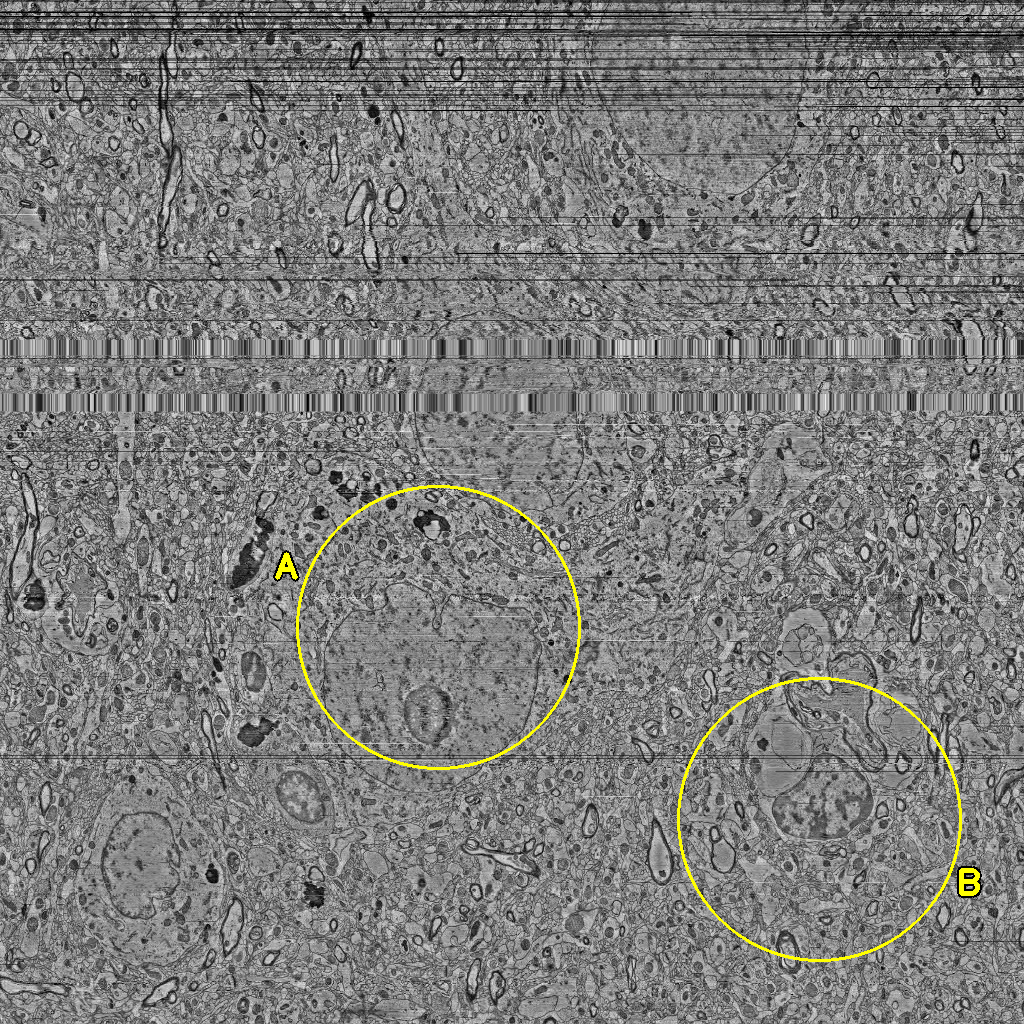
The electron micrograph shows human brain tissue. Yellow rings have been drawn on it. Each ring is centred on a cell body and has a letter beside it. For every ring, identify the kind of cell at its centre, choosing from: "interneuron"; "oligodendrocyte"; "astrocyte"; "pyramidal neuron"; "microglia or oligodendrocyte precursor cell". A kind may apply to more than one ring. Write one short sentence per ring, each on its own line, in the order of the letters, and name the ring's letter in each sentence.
Ring A is centred on a pyramidal neuron.
Ring B is centred on a microglial cell or oligodendrocyte precursor cell.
